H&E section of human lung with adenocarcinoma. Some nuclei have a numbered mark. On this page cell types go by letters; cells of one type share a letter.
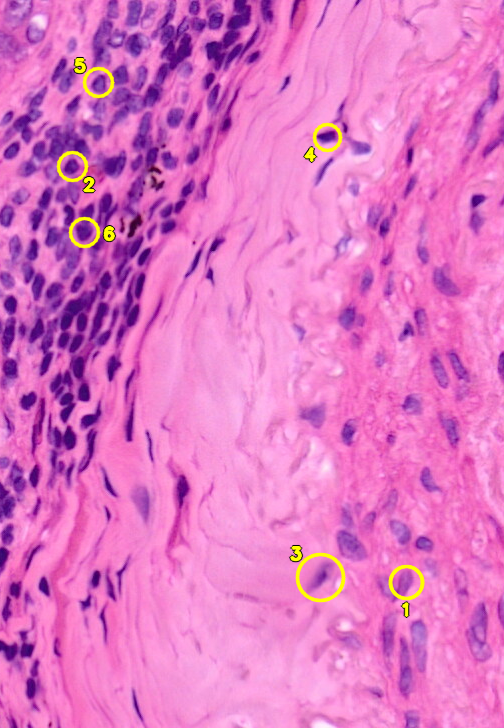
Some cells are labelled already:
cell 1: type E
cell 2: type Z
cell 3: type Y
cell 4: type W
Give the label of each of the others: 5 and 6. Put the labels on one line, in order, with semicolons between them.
type Z; type Z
